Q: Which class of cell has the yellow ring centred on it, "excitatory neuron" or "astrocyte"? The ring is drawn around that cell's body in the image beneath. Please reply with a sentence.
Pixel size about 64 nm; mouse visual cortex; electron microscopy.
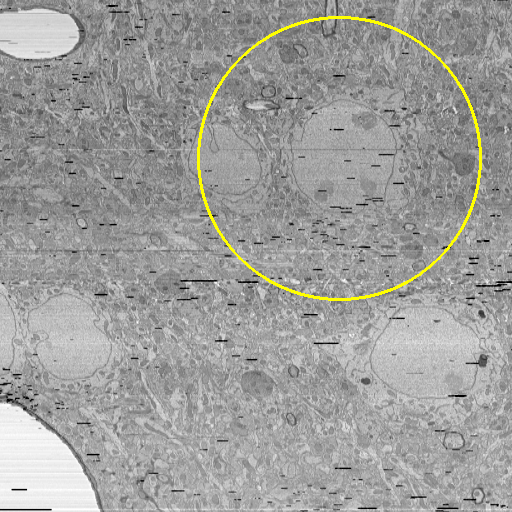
It is centred on an excitatory neuron.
